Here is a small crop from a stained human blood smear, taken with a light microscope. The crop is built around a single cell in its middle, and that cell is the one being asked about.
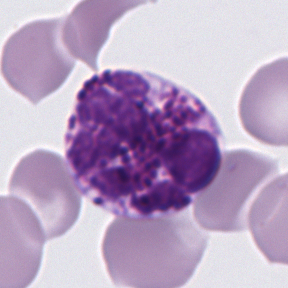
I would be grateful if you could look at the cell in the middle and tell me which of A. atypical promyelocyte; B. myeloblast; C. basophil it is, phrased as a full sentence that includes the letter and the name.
Option C stands as correct, the central cell being a basophil.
